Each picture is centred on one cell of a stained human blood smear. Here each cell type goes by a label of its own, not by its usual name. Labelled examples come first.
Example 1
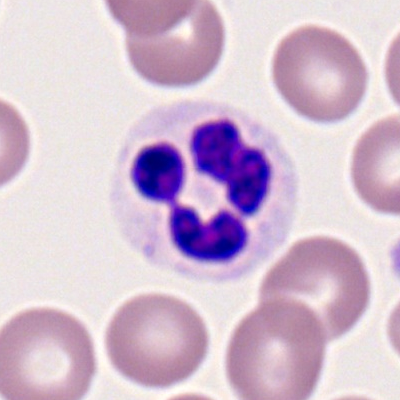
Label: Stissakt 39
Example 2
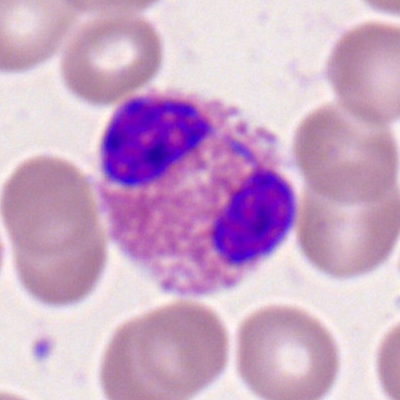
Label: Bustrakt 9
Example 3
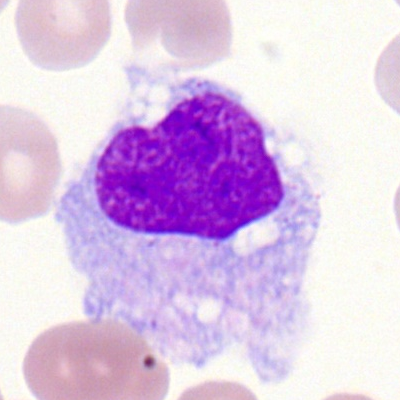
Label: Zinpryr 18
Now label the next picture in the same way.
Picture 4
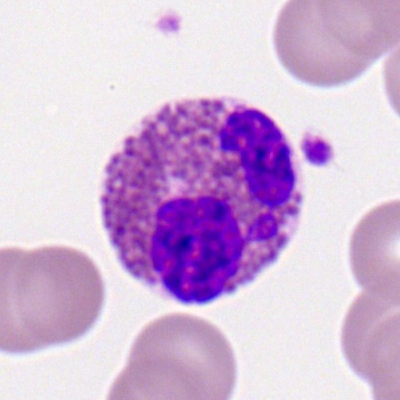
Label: Bustrakt 9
